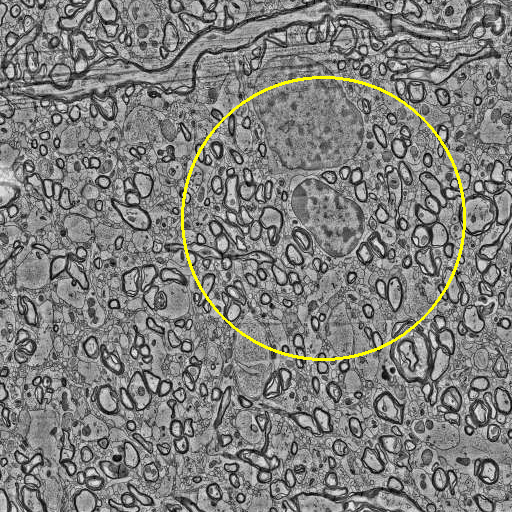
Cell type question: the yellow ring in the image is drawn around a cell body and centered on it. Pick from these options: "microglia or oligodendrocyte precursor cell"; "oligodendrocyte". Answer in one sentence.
The ringed cell at the center is a microglial cell or oligodendrocyte precursor cell.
